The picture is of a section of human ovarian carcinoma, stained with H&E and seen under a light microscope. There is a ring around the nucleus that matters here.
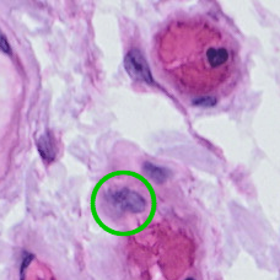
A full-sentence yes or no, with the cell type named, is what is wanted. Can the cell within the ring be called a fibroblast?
No, the cell within the ring is described as an endothelial cell and not as a fibroblast.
